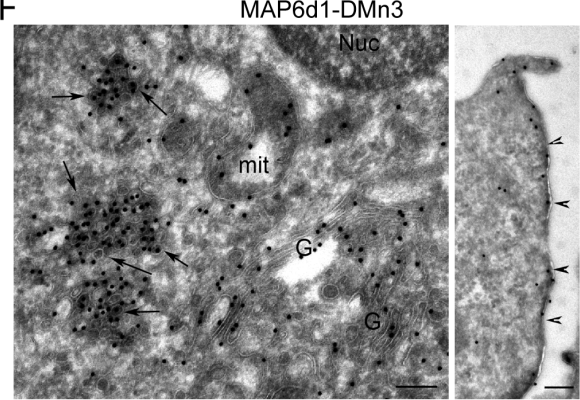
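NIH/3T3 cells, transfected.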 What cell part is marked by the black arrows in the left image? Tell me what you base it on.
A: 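The arrows point to clusters of small round membrane-bound profiles in the cytoplasm. Dense black gold particles crowd over these clusters. The answer: cytoplasmic vesicles.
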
